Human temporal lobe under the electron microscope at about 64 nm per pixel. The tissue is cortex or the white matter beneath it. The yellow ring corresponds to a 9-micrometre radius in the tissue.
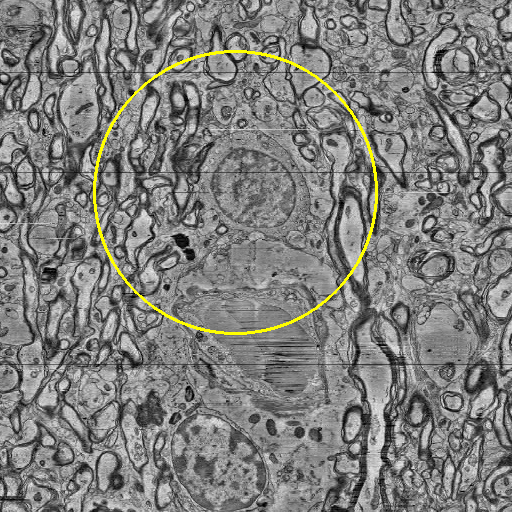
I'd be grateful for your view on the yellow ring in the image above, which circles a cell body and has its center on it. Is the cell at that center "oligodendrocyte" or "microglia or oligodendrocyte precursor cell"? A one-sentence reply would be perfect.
The cell at the center of the yellow ring is an oligodendrocyte.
